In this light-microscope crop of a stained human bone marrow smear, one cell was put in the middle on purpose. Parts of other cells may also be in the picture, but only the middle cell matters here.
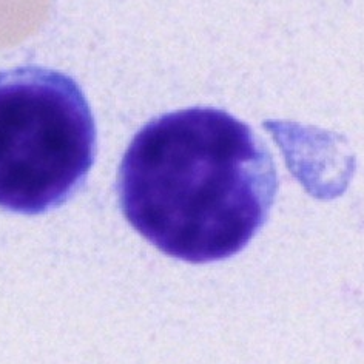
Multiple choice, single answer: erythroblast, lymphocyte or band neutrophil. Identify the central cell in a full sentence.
Looking at the middle of the crop, the cell there is a lymphocyte.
